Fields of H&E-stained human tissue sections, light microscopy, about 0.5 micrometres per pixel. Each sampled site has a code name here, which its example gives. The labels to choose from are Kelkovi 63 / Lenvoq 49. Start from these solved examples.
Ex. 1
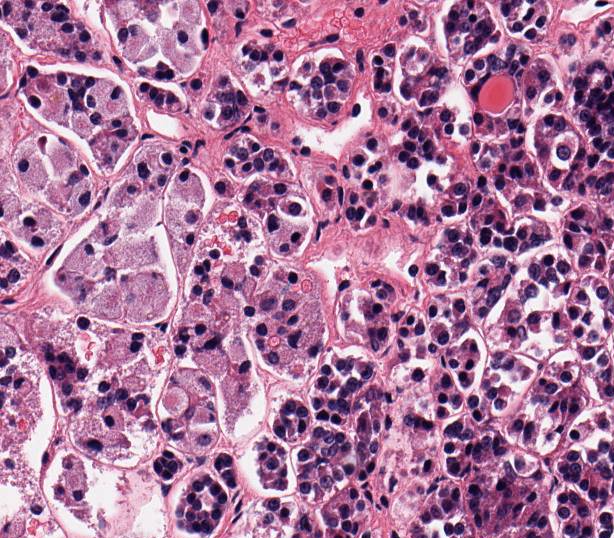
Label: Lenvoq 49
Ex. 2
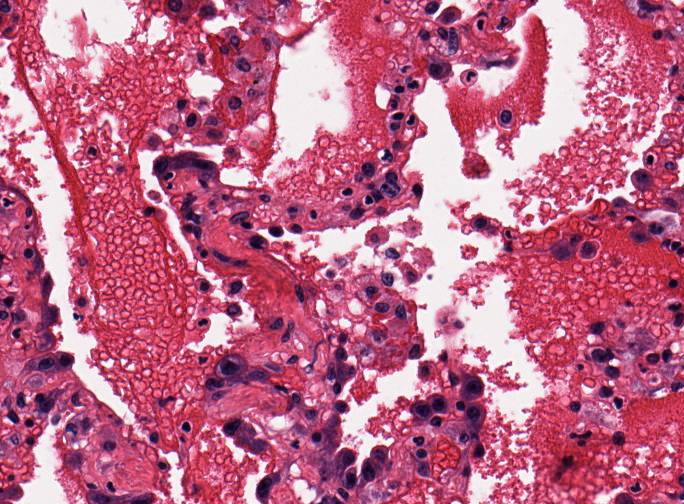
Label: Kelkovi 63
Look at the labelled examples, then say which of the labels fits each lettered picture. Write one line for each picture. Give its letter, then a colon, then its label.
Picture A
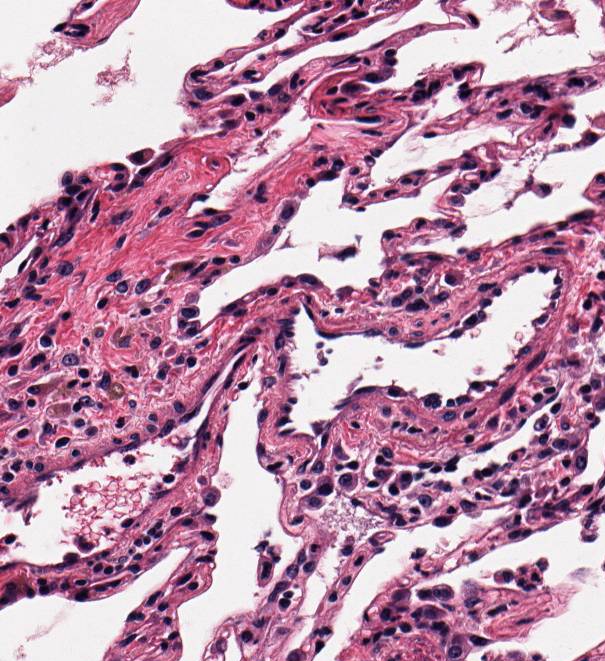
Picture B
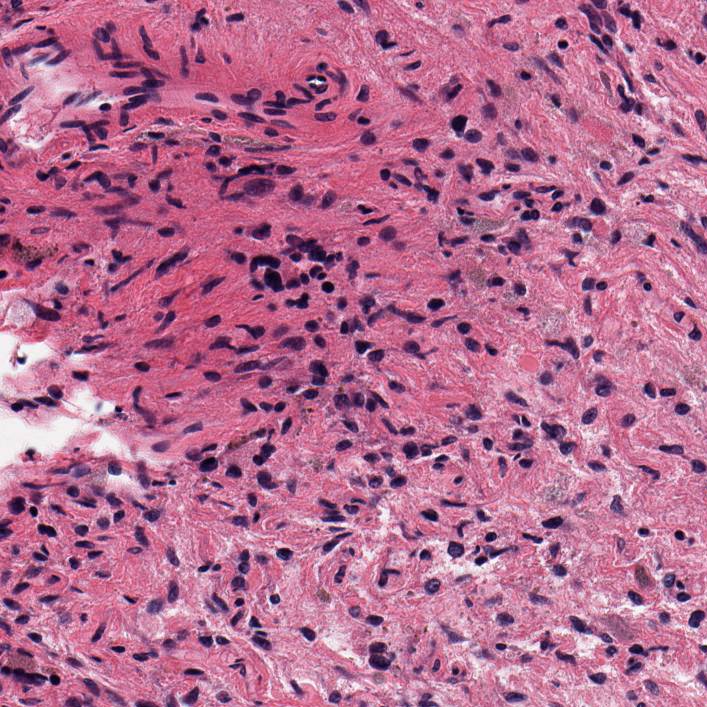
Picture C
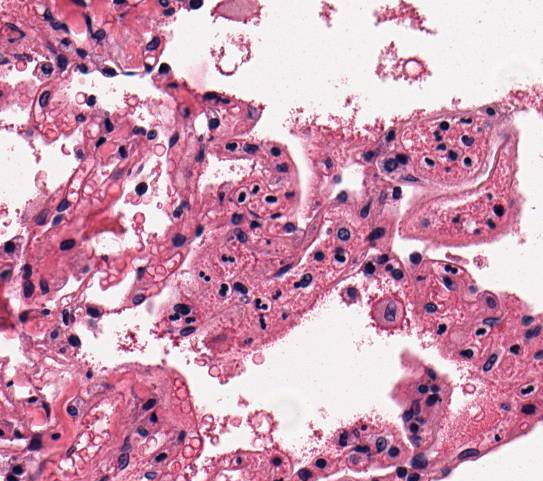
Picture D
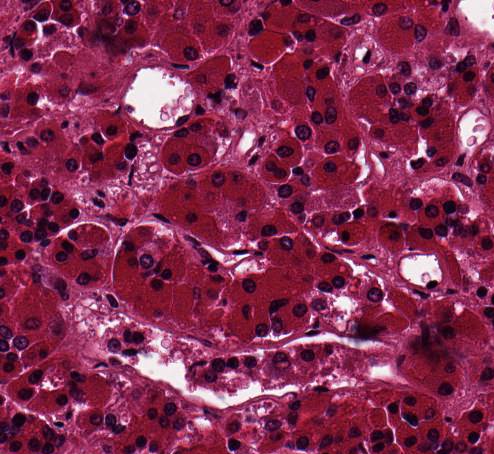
A: Kelkovi 63
B: Lenvoq 49
C: Kelkovi 63
D: Lenvoq 49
